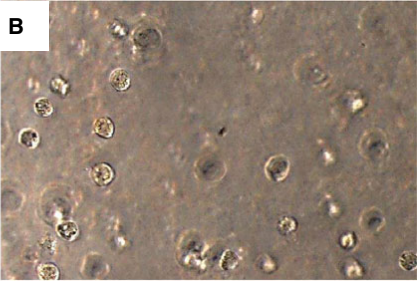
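The cells are small and round, with no processes. Some show a granular interior and a bright refractile rim. They lie scattered at different focal depths, so some are sharp and others are blurred, and they do not form clusters or a continuous layer.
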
